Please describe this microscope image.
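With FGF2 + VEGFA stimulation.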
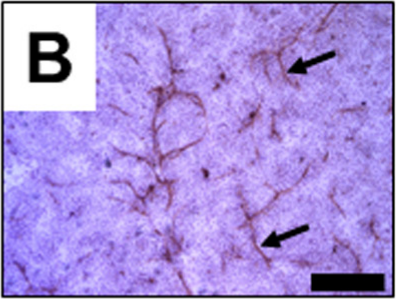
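The cords branch and join one another, outlining loop-like meshes that resemble a primitive capillary network. Between the brown cords the background cells are small, closely packed and stained only blue.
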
